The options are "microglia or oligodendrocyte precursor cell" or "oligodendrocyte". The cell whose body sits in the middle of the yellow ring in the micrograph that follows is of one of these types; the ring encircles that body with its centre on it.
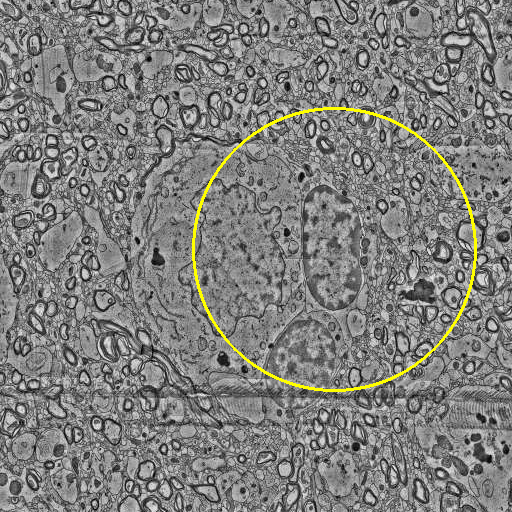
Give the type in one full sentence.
Going by the micrograph, the cell centred in the yellow ring is a microglial cell or oligodendrocyte precursor cell.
